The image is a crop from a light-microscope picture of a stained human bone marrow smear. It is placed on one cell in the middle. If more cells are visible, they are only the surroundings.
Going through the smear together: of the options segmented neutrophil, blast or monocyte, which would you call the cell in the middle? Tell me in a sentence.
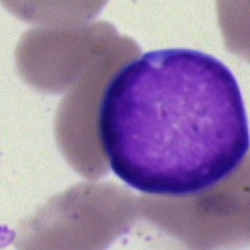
The cell featured at the centre of this crop is a blast.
